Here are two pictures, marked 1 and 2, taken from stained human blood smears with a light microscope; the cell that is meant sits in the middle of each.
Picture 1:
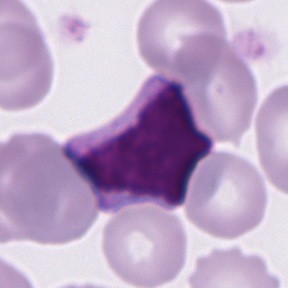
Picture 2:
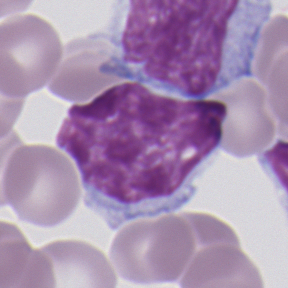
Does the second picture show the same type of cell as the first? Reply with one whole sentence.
Yes; the cells in both pictures are typical lymphocytes.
